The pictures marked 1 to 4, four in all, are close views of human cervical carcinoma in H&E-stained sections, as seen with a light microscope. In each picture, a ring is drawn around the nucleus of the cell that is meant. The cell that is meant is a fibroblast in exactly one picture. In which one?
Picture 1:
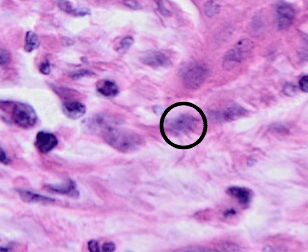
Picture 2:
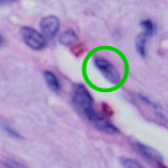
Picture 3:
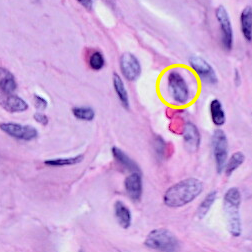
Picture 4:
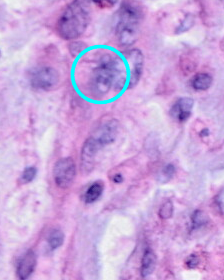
1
